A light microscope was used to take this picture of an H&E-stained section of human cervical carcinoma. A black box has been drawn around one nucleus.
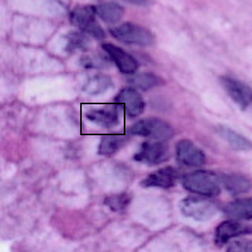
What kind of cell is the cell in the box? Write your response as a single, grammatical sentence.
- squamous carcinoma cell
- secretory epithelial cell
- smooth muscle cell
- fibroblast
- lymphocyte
In the tissue at hand, the cell in the box is a secretory epithelial cell.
